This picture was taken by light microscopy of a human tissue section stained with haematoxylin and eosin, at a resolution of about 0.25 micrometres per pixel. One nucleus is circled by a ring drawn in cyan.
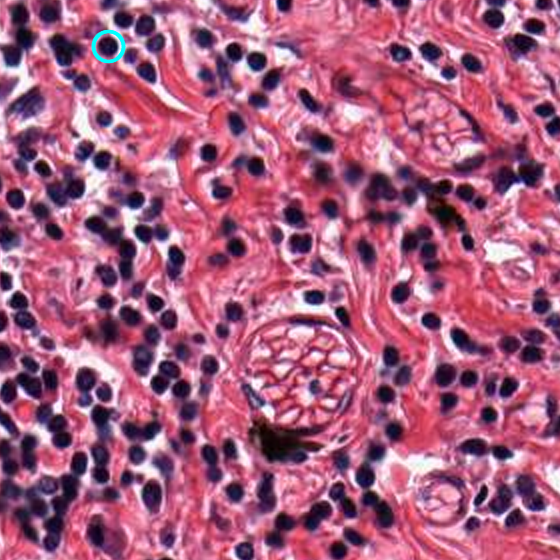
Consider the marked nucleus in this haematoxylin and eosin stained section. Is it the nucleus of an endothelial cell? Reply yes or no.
no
